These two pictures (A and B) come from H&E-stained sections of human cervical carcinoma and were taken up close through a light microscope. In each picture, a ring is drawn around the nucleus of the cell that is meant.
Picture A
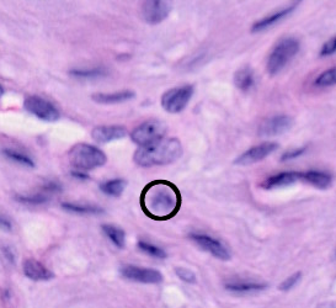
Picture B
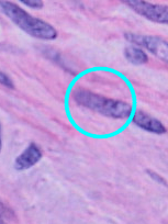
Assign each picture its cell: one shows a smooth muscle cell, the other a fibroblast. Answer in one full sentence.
Picture A is of a fibroblast, and picture B is of a smooth muscle cell.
